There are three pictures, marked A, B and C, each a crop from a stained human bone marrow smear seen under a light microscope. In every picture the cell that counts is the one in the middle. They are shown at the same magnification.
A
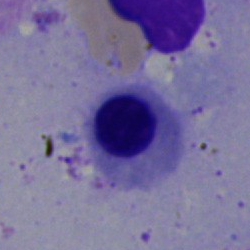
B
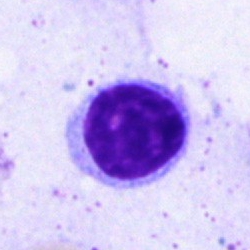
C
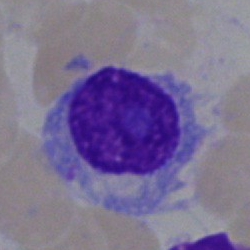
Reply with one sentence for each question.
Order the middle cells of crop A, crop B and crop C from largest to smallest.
Largest first: C, B, A.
